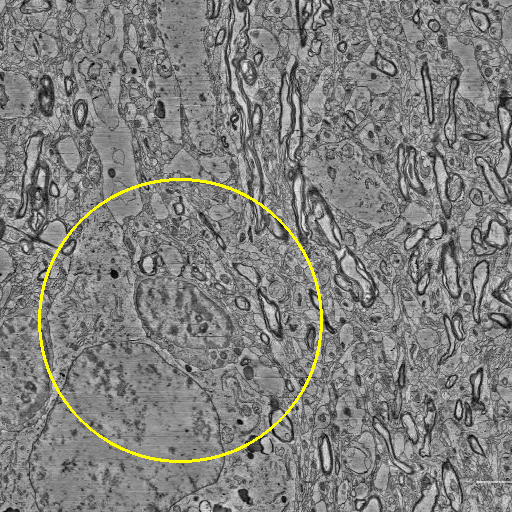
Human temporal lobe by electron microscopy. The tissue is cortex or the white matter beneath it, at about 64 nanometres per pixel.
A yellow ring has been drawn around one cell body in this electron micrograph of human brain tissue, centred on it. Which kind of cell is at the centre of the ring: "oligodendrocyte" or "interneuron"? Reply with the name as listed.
oligodendrocyte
